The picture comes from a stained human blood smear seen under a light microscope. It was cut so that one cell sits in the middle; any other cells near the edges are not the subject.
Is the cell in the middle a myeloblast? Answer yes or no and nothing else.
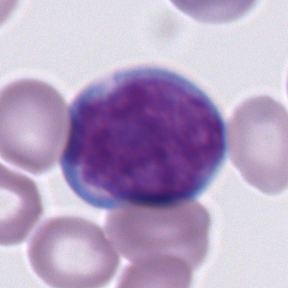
yes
